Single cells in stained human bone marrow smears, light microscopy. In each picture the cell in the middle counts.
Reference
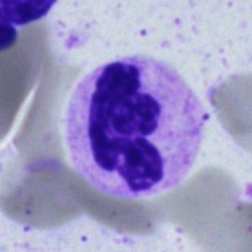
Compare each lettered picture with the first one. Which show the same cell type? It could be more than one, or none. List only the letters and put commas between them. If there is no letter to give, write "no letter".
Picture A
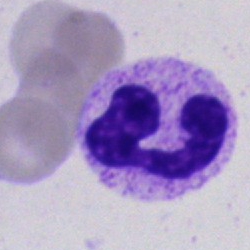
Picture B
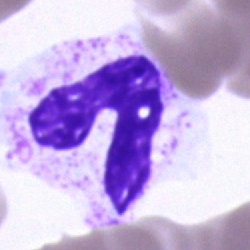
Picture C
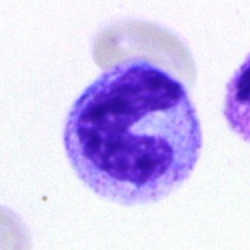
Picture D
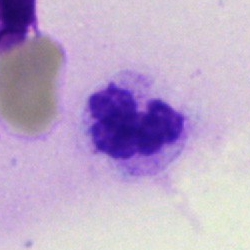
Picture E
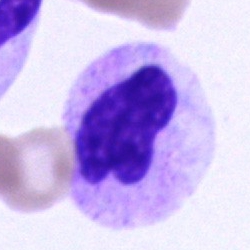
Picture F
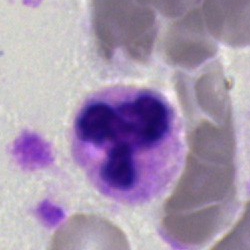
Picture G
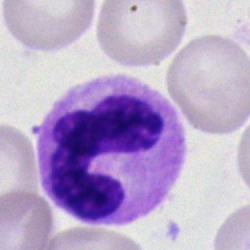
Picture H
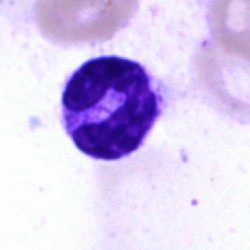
A, D, F, H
